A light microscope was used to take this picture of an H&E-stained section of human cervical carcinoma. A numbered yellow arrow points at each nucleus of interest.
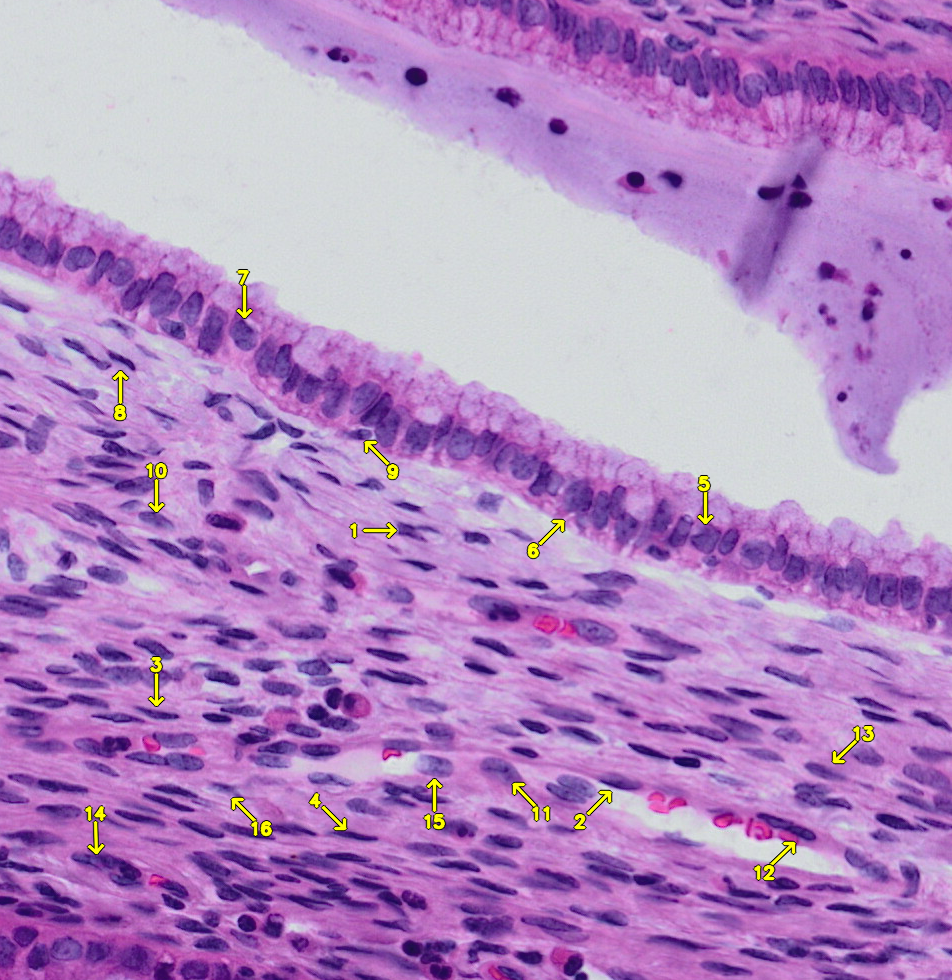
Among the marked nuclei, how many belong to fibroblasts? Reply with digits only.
7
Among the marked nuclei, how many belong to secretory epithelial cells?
4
